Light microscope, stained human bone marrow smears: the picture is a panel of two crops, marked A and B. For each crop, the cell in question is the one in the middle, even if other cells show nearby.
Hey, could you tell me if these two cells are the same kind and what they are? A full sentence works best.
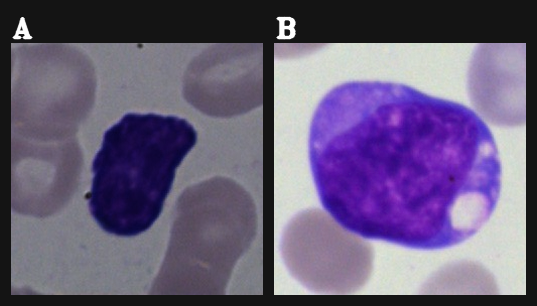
Yes, shown in both crops are blasts.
